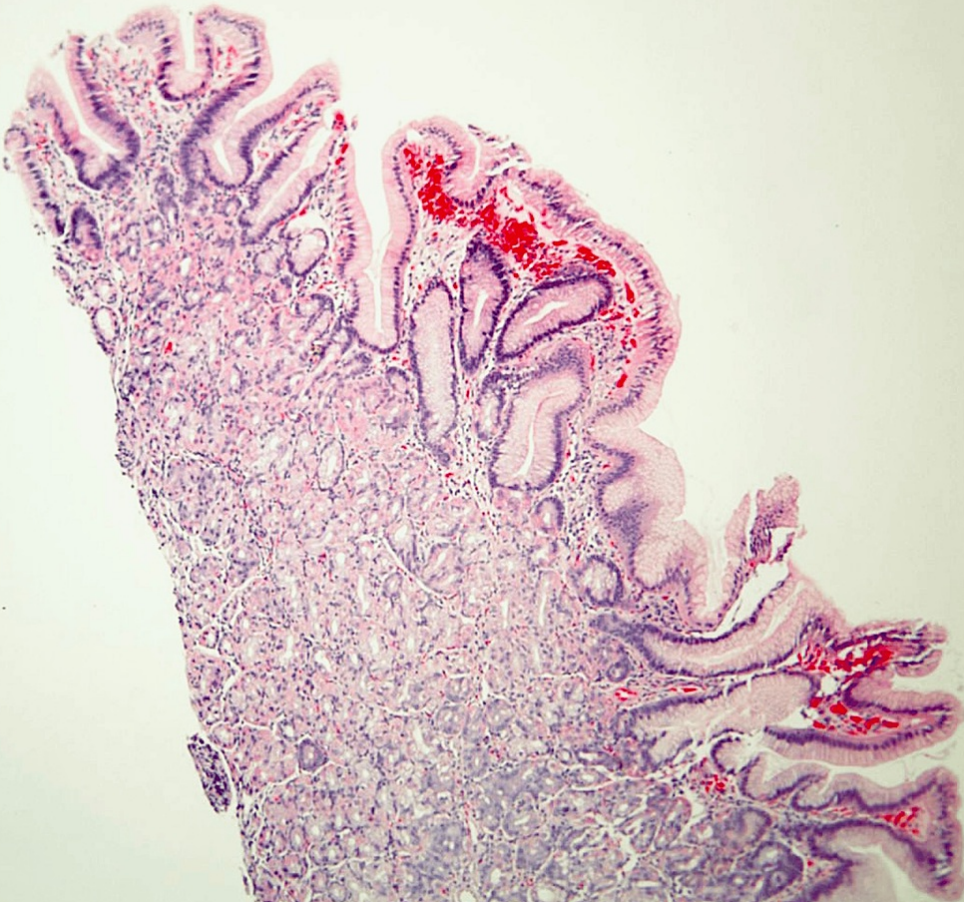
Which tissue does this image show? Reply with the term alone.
Gastric foveolar-type epithelium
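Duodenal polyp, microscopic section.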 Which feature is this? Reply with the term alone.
gastric fundic-type glands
